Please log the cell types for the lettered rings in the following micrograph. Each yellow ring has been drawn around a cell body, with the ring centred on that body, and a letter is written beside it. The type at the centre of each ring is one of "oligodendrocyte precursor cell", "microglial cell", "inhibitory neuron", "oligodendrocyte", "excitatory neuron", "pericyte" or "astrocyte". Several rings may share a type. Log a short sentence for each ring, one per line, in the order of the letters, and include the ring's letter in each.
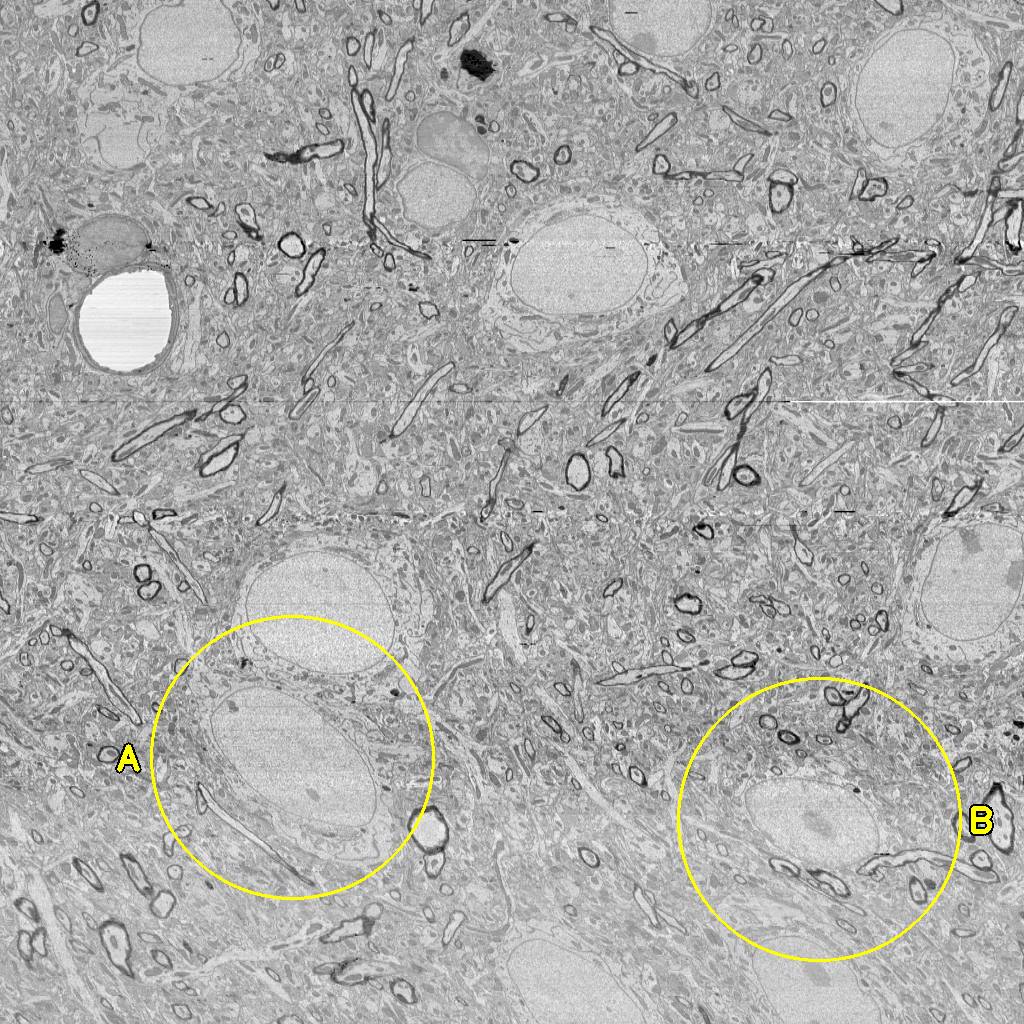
In ring A the central cell is an excitatory neuron.
In ring B the central cell is an astrocyte.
